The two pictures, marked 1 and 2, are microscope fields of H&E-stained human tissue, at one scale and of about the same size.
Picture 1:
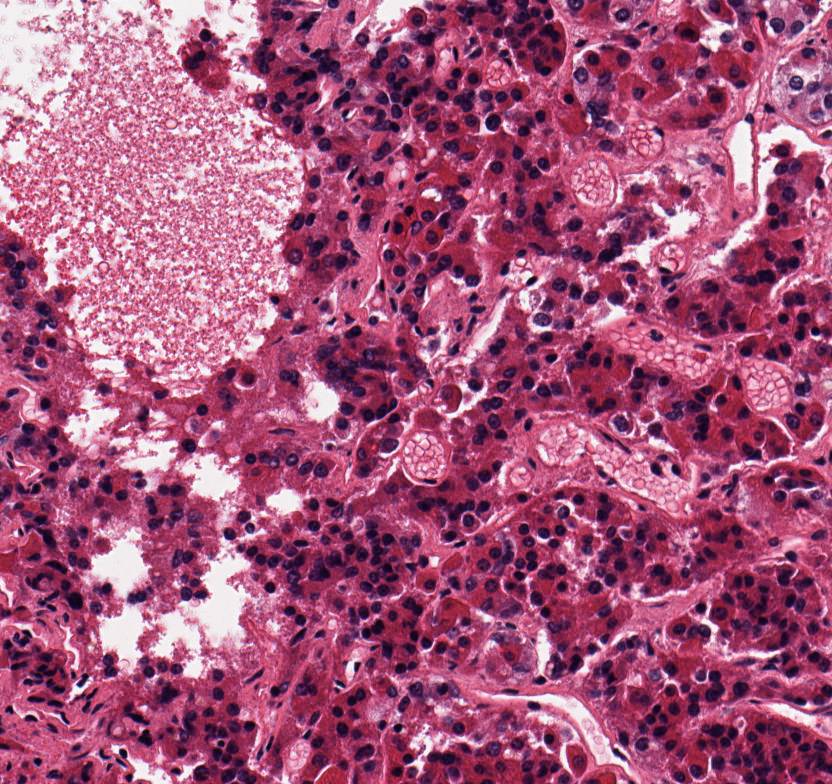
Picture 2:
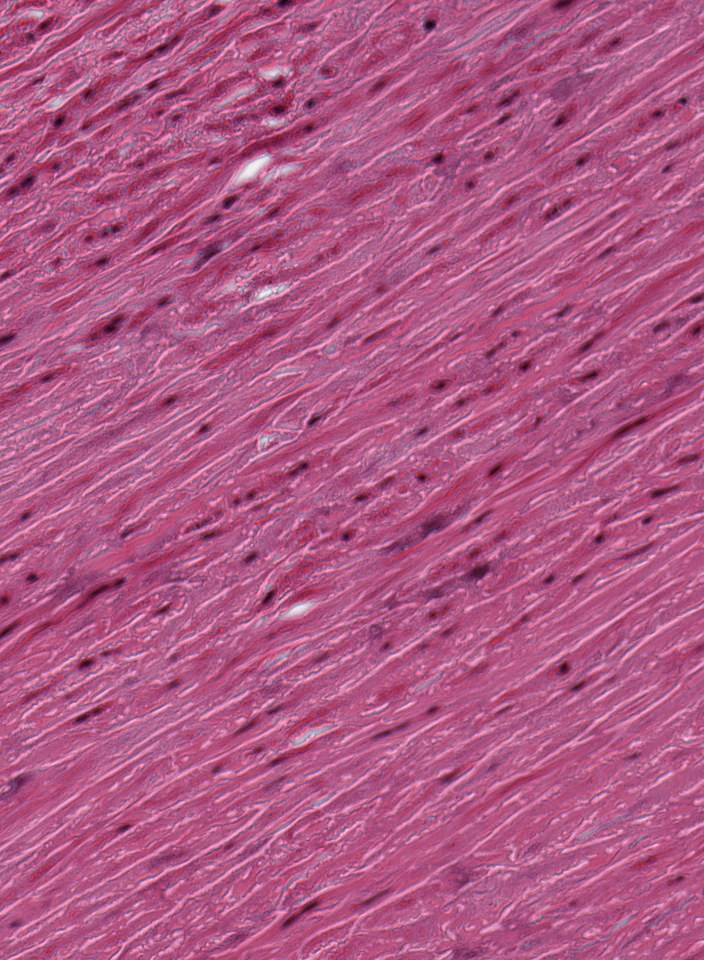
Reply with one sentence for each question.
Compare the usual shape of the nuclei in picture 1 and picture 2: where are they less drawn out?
On the whole the nuclei of picture 1 are rounder than those of picture 2.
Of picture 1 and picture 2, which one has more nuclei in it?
There are more nuclei in picture 1.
